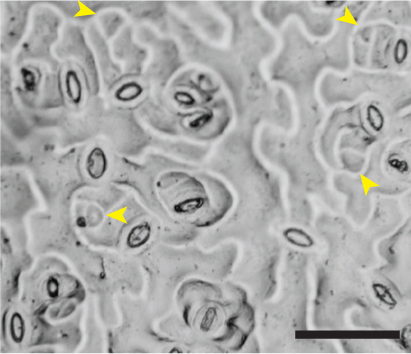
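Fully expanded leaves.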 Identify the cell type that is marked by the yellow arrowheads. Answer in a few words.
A: Stomatal precursors.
